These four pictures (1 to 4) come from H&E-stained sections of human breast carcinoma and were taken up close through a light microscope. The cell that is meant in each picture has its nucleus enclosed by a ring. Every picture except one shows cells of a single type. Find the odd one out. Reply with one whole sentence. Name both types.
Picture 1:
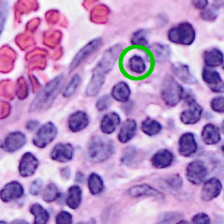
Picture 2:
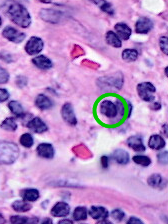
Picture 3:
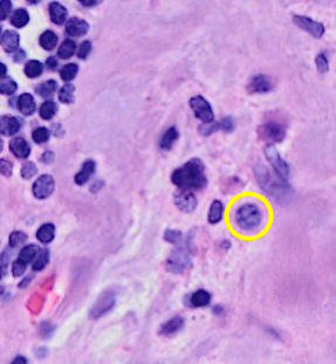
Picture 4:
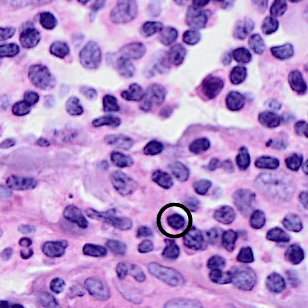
The others show lymphocytes, but picture 3 shows a mast cell.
